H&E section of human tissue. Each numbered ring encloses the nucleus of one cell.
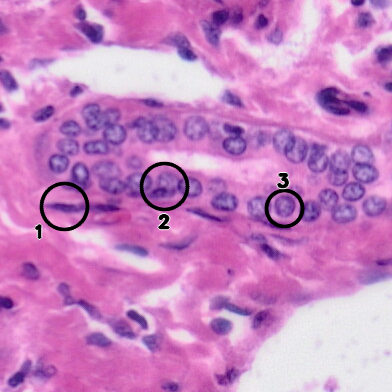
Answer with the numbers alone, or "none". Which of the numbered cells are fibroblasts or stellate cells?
1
